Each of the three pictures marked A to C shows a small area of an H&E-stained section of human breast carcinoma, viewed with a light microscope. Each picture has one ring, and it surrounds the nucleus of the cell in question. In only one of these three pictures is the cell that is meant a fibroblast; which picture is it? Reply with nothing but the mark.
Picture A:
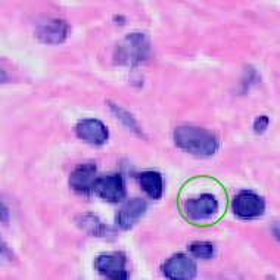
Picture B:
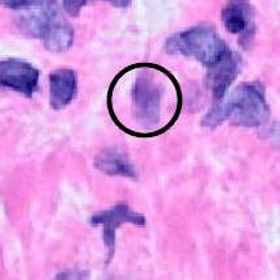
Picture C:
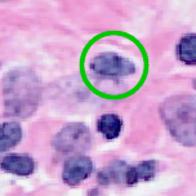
B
